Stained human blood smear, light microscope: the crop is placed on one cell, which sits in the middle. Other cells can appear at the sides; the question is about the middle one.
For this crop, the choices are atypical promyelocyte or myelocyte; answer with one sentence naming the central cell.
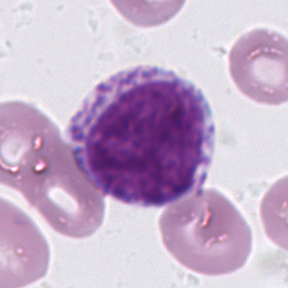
Among the cells in view, the one in the middle is a myelocyte.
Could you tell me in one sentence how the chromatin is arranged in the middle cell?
Chromatin in the nucleus here is coarsely clumped.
